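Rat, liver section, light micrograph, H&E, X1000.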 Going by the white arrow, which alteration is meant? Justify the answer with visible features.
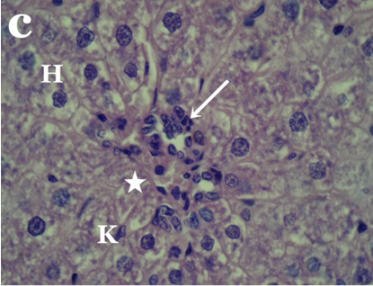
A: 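Leucocytic infiltration. A cluster of small, densely stained nuclei lies between hepatocytes. The clustered nuclei are much smaller than the large round hepatocyte nuclei.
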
